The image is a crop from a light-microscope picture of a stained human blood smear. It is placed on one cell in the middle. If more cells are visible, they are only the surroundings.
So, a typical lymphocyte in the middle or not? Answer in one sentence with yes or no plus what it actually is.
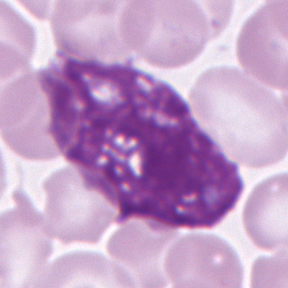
No, the central cell does not represent a typical lymphocyte, but a smudge cell.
